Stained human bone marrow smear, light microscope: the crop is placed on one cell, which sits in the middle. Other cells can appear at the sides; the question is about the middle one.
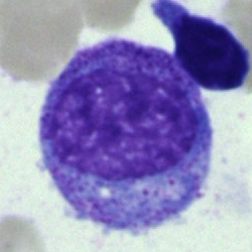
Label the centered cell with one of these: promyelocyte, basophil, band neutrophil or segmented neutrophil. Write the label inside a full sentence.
Among the cells in view, the one in the middle is a promyelocyte.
